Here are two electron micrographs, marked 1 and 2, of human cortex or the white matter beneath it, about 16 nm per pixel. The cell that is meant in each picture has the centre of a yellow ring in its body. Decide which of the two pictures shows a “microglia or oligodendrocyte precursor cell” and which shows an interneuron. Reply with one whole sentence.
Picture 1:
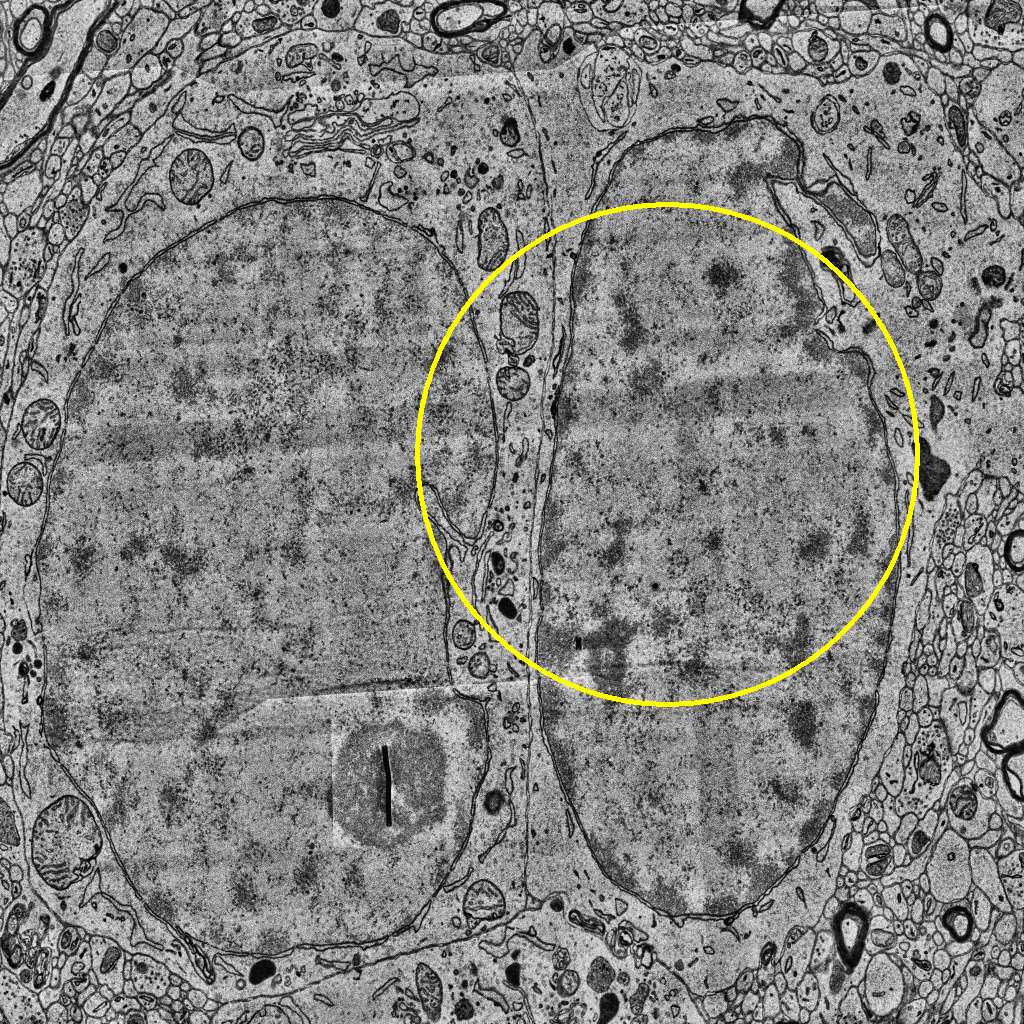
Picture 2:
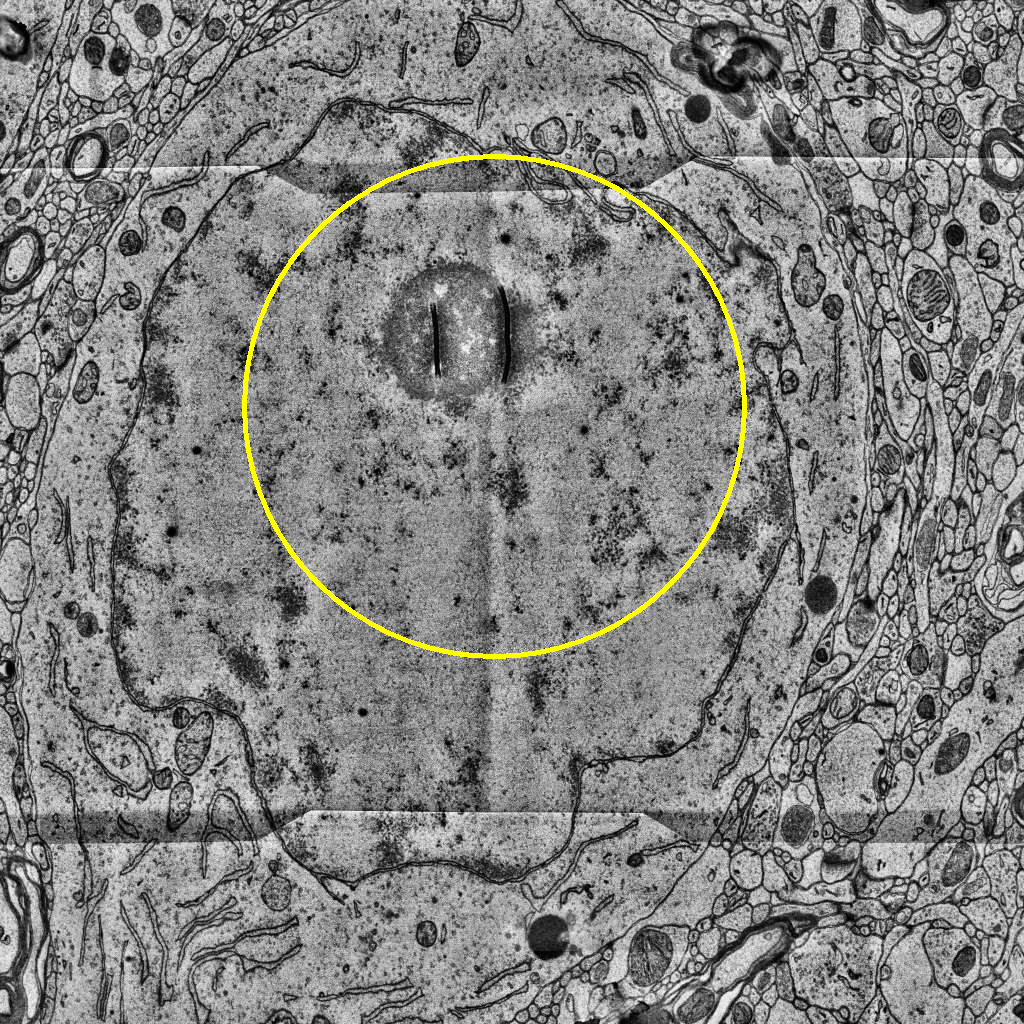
In picture 1 the cell is a “microglia or oligodendrocyte precursor cell”; in picture 2, an interneuron.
